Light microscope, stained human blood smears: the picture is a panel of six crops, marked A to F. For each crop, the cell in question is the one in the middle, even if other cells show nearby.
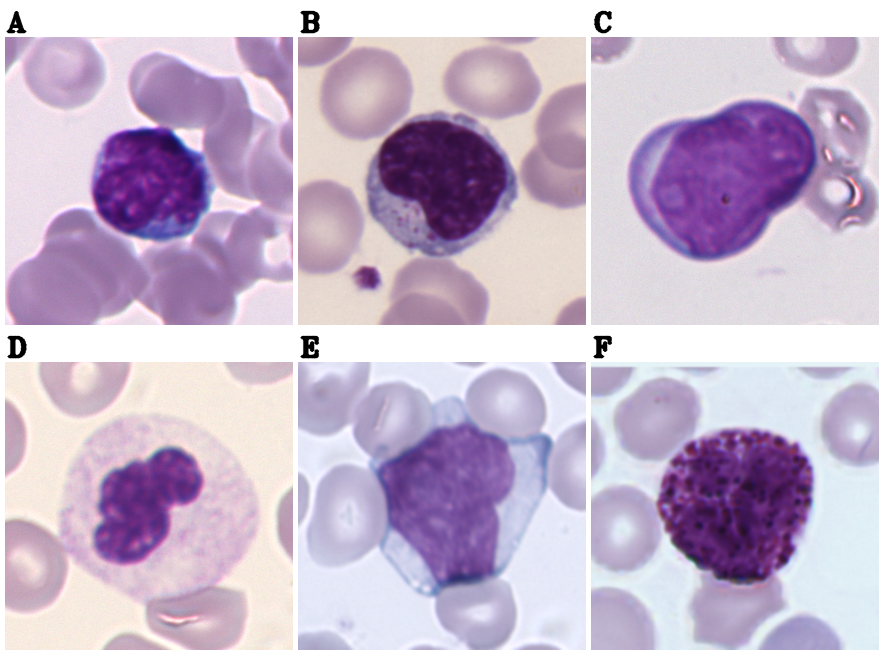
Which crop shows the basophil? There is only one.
F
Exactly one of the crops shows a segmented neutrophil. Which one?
D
